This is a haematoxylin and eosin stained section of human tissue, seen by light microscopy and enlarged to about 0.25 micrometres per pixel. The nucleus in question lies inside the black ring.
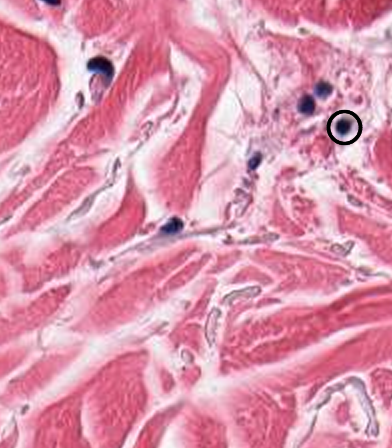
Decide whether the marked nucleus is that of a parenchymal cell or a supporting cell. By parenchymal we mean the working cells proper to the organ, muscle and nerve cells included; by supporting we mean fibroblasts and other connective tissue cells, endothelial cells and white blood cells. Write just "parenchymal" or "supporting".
supporting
